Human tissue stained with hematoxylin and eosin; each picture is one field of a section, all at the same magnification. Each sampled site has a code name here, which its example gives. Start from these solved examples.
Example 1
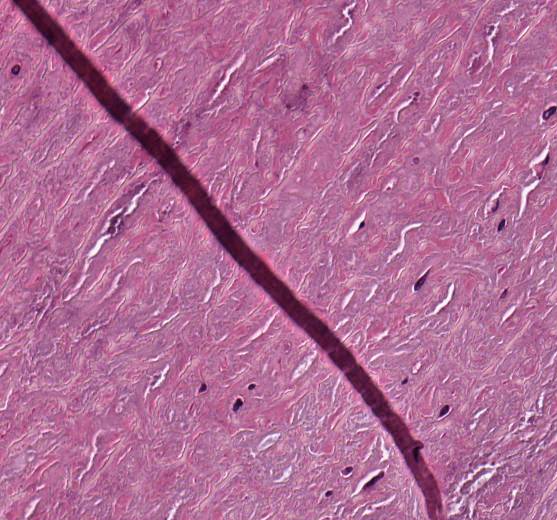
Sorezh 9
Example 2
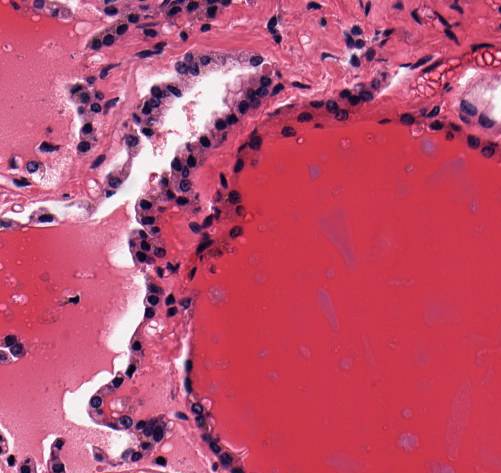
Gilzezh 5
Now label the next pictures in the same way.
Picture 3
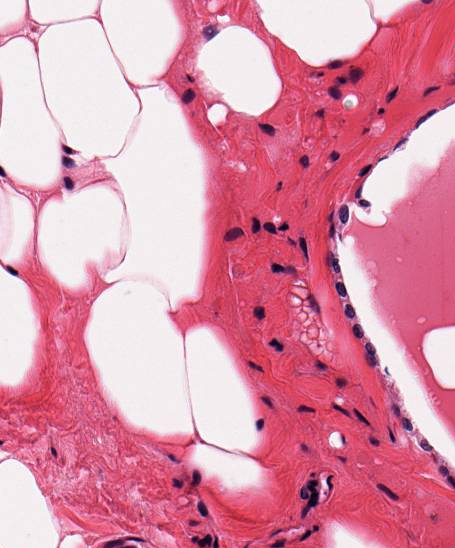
Gilzezh 5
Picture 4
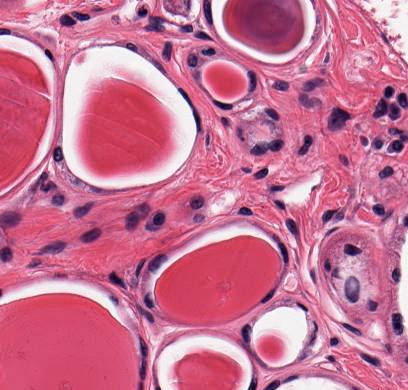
Gilzezh 5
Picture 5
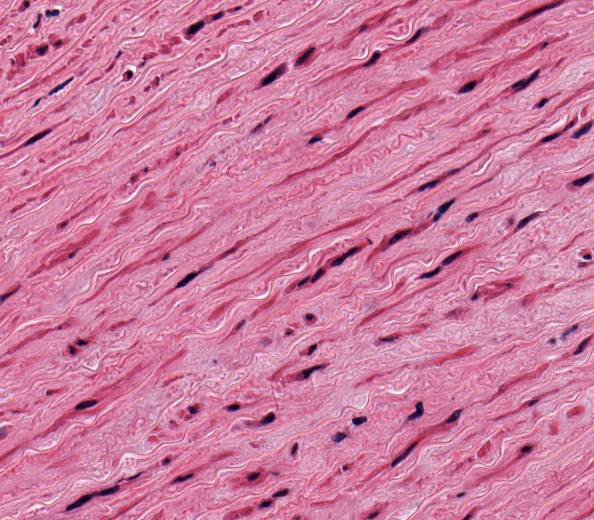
Sorezh 9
